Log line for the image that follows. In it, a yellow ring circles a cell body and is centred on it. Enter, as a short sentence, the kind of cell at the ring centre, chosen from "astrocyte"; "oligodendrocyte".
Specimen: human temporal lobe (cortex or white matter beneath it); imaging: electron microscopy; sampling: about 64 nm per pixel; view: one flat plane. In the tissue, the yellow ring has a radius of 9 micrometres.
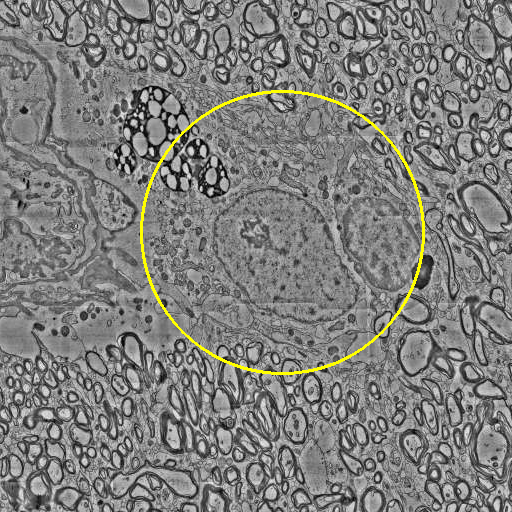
The ring centre is occupied by an astrocyte.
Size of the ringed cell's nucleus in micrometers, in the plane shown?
In this plane, about 10 micrometres in length and 7 in width.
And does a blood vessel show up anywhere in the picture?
Yes.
